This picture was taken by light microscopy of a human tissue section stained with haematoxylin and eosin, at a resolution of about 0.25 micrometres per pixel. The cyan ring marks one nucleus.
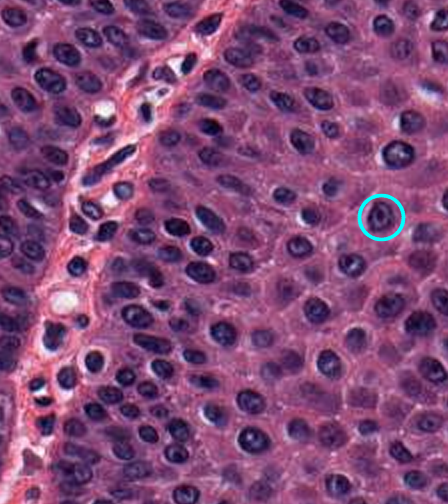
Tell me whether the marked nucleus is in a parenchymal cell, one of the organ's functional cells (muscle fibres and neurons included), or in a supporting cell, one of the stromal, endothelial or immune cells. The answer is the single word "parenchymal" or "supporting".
parenchymal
